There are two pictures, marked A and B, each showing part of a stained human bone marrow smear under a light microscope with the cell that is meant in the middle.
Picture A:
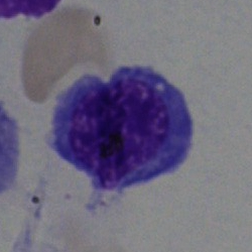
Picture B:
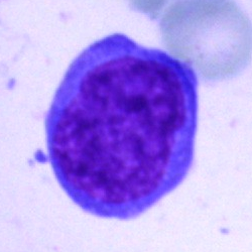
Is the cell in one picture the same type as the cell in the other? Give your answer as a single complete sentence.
No. Picture A shows an erythroblast, but picture B shows a blast.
